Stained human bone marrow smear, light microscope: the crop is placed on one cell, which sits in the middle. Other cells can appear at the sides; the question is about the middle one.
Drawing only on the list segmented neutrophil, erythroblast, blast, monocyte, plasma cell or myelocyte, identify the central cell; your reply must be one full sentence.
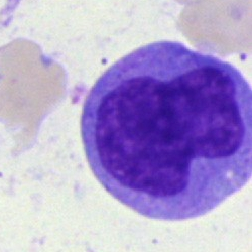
The center cell of this crop is a monocyte.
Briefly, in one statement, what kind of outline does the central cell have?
The edge of the cell is unbroken and smooth, bearing no projections.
